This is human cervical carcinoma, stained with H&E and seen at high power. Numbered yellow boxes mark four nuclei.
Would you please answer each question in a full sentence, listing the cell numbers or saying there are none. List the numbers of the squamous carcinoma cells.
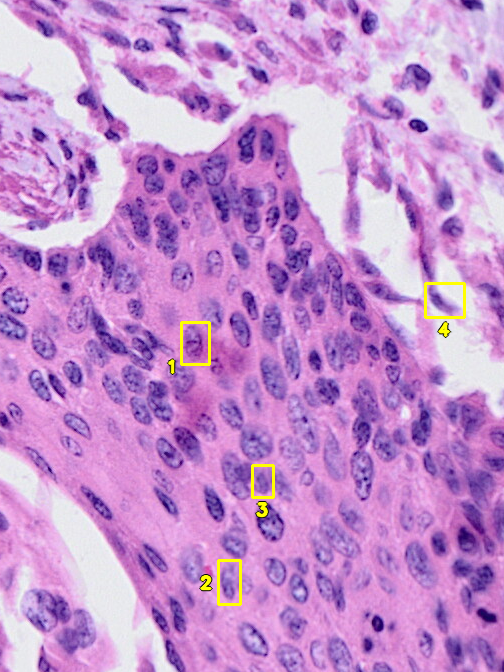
The cells with numbers 1, 2 and 3 are squamous carcinoma cells by type.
